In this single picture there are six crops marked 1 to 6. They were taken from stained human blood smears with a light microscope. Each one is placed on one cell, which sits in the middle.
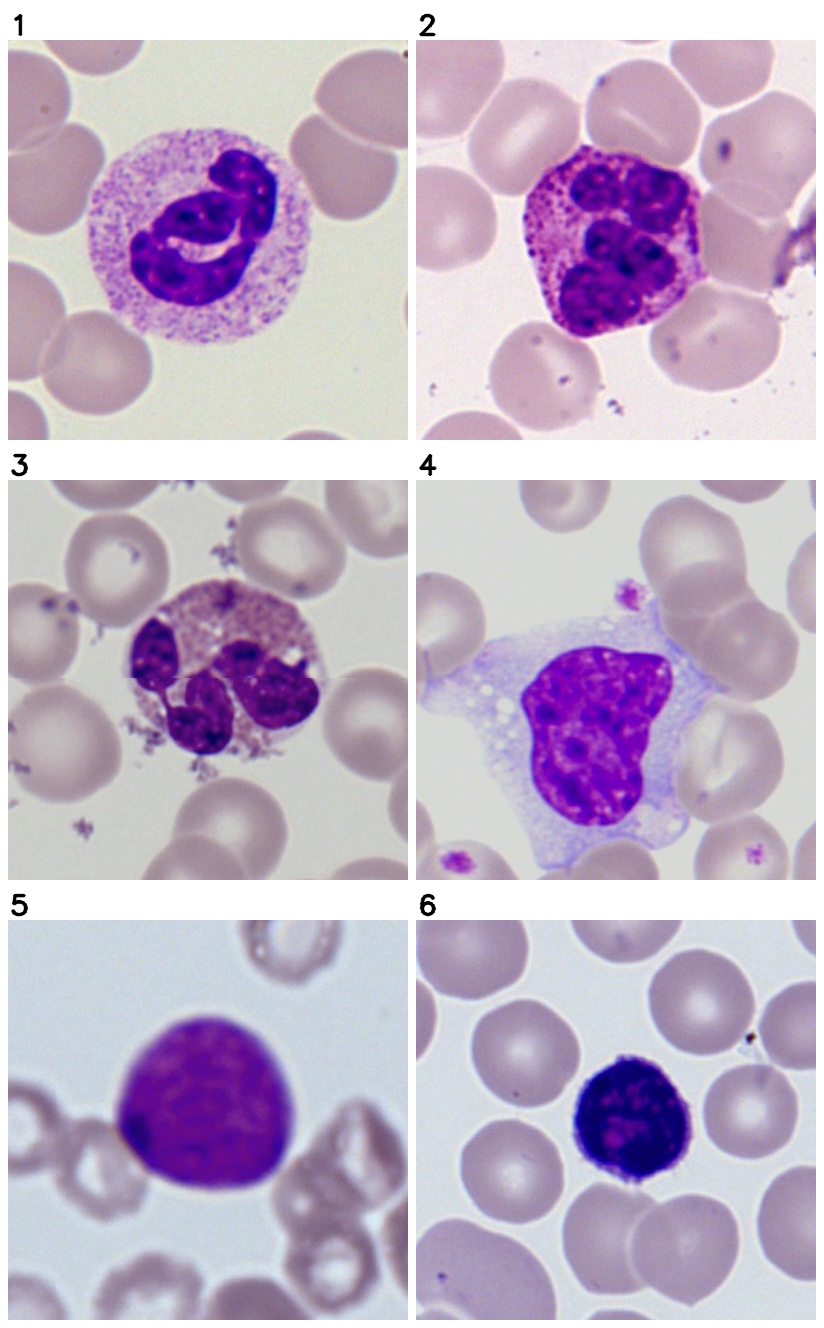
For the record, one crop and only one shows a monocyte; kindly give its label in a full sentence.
The requested cell, a monocyte, is the one in crop 4.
